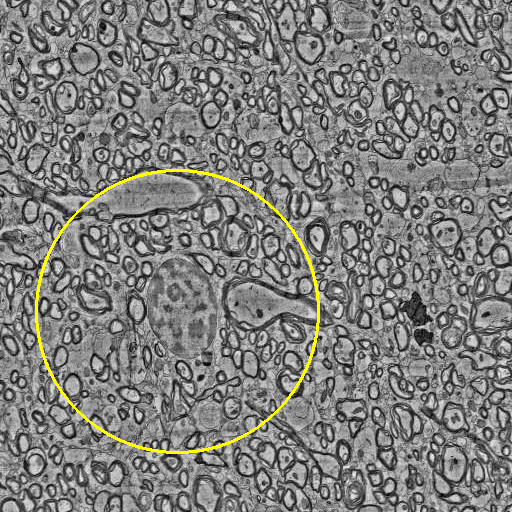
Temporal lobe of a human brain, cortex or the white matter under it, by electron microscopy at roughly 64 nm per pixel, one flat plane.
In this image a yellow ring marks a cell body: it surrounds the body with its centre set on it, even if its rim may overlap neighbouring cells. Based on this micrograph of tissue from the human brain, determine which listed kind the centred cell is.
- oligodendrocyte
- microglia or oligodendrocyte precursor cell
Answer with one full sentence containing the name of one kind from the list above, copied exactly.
It is a microglial cell or oligodendrocyte precursor cell whose body the yellow ring encloses at its centre.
